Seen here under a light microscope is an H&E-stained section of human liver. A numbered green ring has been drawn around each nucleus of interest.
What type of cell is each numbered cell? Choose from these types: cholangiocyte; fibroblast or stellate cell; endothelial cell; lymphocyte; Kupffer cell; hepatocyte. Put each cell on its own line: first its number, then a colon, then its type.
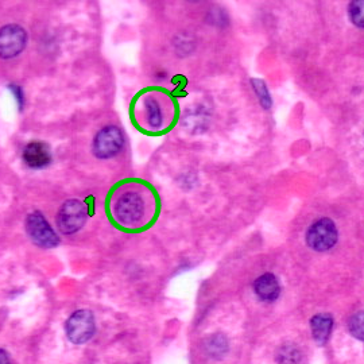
1: hepatocyte
2: Kupffer cell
